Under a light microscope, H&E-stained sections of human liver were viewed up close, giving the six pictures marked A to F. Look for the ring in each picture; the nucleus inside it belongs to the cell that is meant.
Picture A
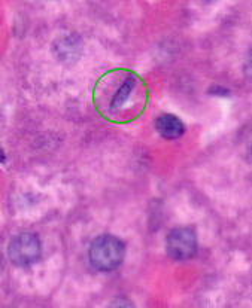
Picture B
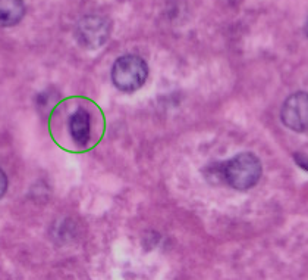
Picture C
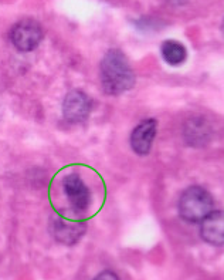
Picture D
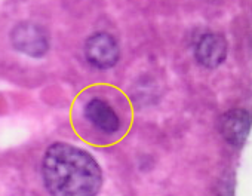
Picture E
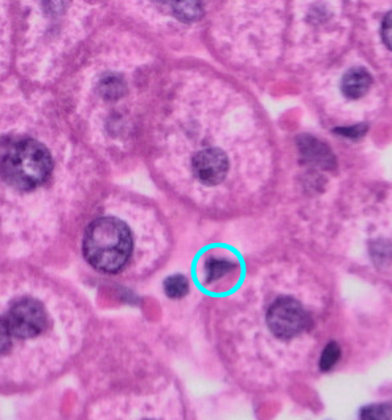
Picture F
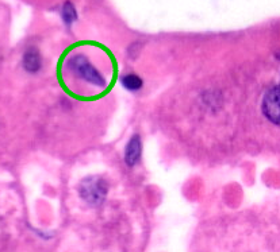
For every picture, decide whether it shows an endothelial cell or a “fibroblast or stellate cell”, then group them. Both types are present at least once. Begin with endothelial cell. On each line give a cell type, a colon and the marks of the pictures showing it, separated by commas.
endothelial cell: A, E
fibroblast or stellate cell: B, C, D, F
